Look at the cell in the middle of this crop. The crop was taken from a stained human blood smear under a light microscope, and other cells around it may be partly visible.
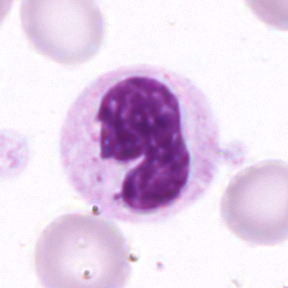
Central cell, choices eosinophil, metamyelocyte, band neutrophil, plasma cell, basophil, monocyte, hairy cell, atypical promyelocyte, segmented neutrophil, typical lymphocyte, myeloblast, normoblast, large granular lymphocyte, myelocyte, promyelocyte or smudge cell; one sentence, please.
This crop's central cell is a band neutrophil.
